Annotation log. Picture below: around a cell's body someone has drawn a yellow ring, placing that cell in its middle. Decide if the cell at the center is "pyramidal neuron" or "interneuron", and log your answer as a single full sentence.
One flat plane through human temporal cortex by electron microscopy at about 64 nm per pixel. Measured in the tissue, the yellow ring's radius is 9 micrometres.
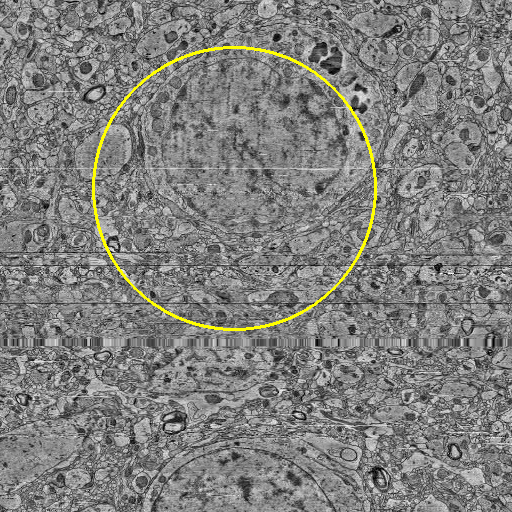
My entry records an interneuron as the cell sitting at the center of the yellow ring.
